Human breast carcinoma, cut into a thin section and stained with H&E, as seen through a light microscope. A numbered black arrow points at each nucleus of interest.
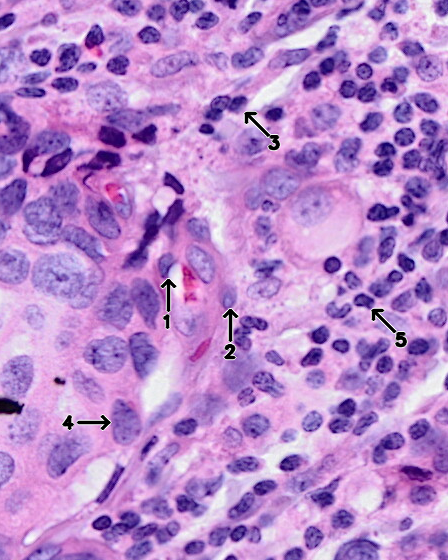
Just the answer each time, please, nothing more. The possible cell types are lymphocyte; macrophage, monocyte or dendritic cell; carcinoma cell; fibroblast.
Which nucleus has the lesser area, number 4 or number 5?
5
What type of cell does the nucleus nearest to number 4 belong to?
lymphocyte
